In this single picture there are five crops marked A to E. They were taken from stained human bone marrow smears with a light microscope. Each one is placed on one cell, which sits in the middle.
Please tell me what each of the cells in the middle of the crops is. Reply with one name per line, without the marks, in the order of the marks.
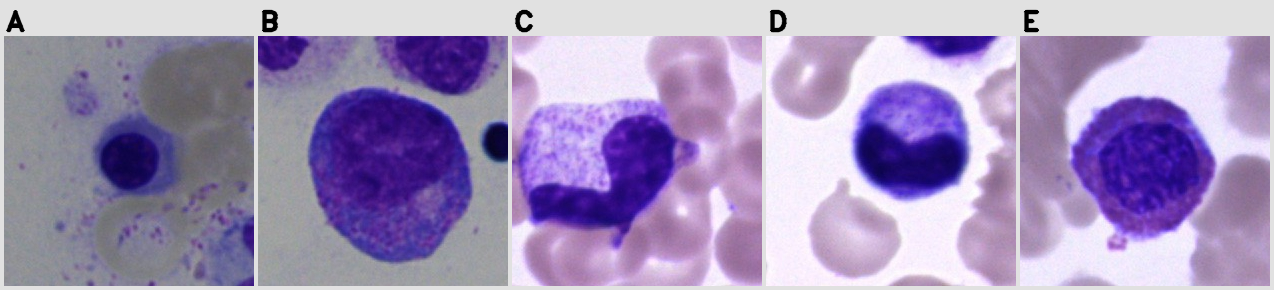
erythroblast
promyelocyte
band neutrophil
metamyelocyte
eosinophil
